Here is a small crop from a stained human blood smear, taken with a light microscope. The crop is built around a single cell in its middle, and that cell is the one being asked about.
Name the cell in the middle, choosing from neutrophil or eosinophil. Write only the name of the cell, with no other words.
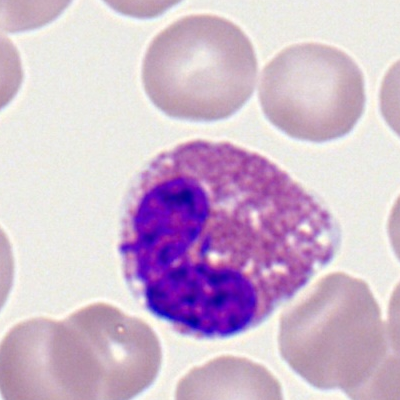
eosinophil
